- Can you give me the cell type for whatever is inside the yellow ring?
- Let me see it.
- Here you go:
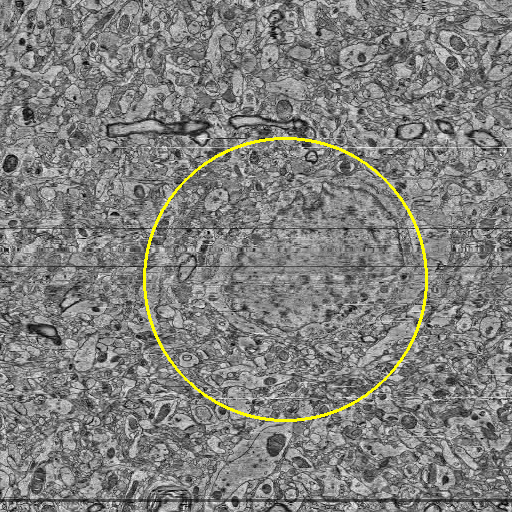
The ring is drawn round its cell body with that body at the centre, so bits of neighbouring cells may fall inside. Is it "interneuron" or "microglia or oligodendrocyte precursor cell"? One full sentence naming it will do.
The cell body in the middle of the ring in this picture belongs to an interneuron.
